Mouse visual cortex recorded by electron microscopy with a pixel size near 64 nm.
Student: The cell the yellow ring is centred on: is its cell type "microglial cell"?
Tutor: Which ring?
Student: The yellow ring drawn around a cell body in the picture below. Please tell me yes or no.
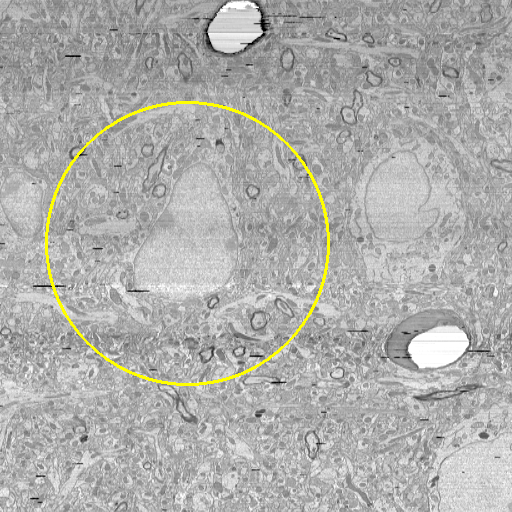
no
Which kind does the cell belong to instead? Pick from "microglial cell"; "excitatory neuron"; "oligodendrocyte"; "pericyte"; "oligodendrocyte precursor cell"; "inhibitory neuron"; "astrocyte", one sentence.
It is an astrocyte that the ring is centred on.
